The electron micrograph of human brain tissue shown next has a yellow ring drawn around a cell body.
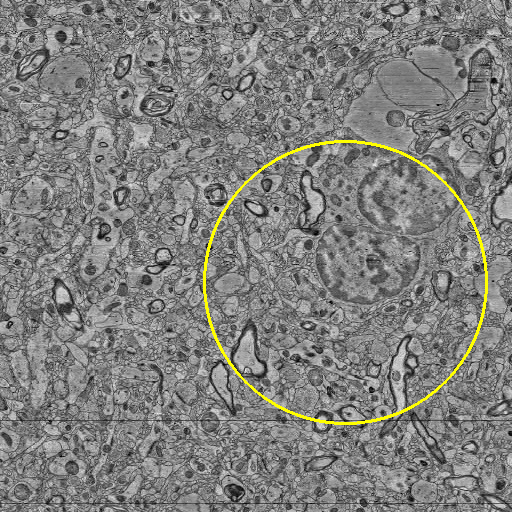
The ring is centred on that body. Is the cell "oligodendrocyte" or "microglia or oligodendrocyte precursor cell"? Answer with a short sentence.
The cell in question is an oligodendrocyte.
